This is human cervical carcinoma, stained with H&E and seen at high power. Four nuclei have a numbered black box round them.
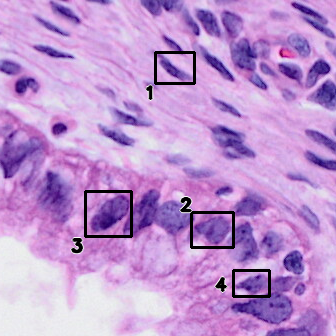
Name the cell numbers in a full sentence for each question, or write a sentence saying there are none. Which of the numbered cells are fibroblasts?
The cell marked by number 1 is a fibroblast; the other marked cells are not.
